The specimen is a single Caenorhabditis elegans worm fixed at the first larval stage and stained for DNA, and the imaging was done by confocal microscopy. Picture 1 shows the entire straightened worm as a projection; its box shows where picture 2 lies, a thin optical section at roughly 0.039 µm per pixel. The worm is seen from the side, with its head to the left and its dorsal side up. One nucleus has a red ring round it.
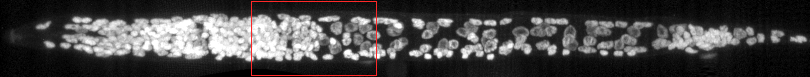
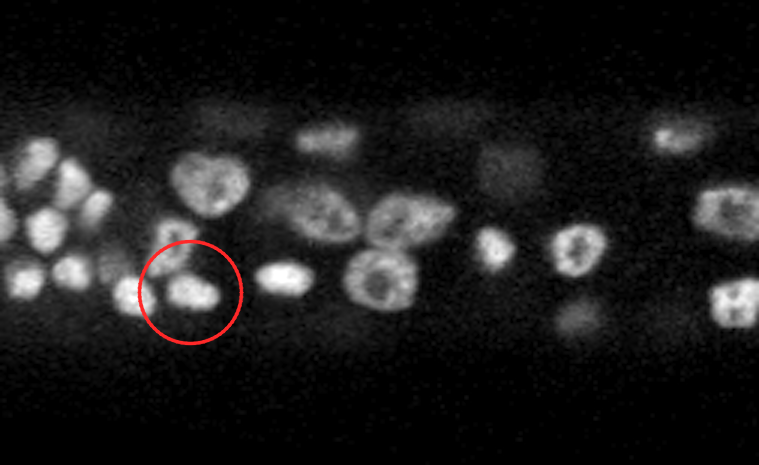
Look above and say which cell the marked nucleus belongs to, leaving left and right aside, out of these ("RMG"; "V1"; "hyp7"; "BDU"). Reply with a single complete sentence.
The marked cell is RMG, a neuron.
